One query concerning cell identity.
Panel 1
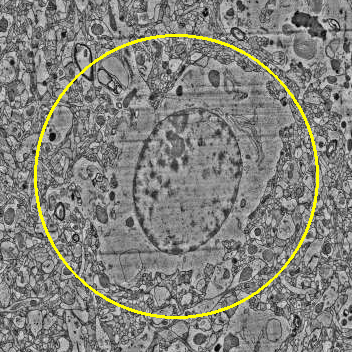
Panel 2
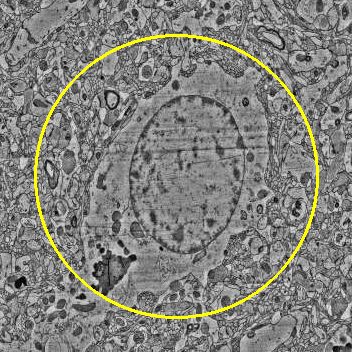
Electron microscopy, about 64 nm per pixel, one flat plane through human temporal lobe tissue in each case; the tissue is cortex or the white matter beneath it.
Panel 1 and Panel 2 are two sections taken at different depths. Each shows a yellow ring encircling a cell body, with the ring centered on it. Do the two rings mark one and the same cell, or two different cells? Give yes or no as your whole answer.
yes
